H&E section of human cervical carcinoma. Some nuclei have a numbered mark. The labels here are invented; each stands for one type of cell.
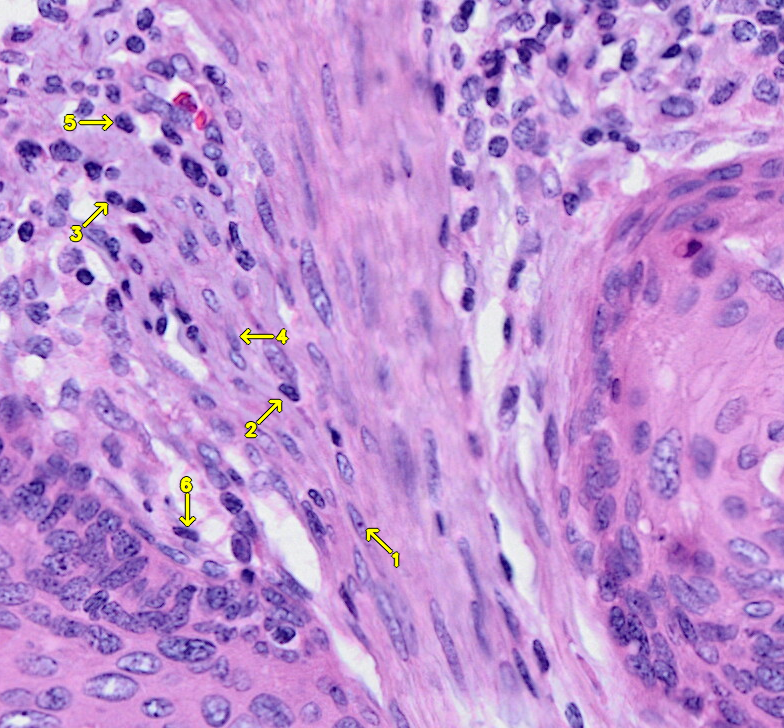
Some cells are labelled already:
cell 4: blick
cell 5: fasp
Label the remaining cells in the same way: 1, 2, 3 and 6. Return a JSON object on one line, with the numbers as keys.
{"1": "blick", "2": "fasp", "3": "fasp", "6": "fasp"}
